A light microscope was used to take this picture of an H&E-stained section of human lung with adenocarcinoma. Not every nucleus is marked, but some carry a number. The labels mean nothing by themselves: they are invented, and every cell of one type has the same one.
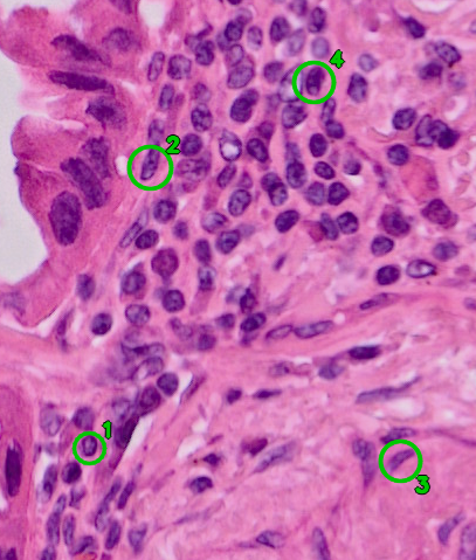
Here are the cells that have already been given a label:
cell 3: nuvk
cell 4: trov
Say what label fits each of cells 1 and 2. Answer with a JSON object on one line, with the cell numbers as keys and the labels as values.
{"1": "trov", "2": "trov"}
